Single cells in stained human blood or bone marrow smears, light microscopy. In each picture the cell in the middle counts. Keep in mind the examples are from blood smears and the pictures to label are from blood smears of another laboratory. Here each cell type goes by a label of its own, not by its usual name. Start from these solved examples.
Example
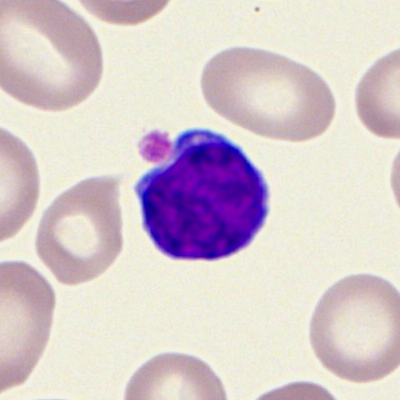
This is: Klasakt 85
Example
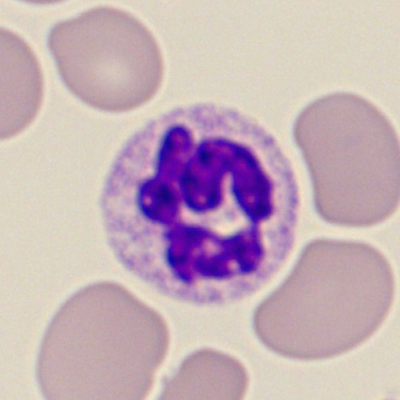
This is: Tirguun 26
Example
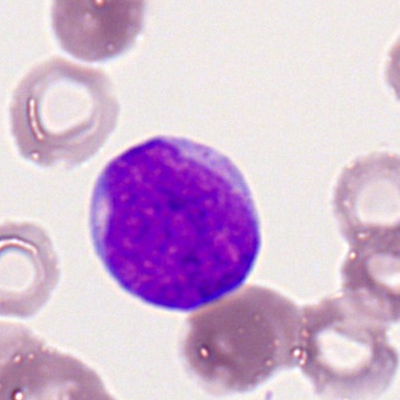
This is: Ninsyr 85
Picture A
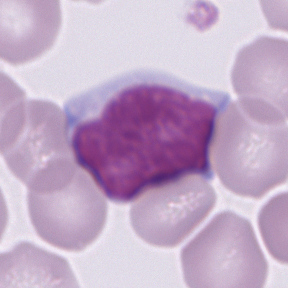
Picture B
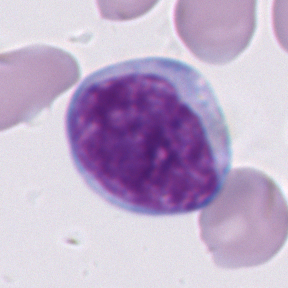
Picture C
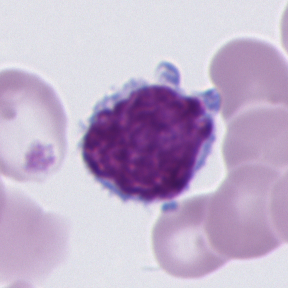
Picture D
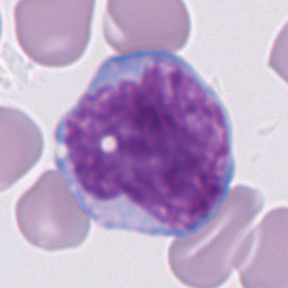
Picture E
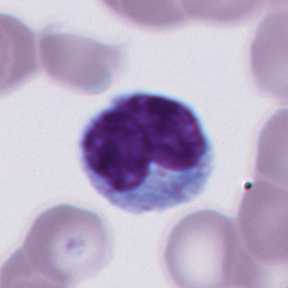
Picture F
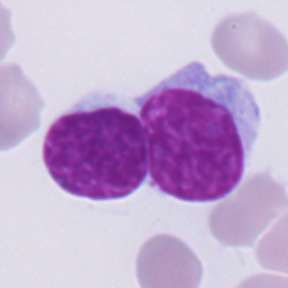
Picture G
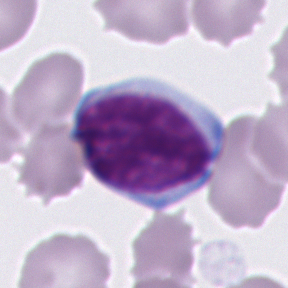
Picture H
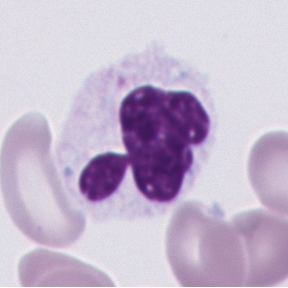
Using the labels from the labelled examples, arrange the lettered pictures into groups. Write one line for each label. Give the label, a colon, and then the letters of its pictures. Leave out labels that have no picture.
Klasakt 85: A, C, E, G
Tirguun 26: H
Ninsyr 85: B, D, F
